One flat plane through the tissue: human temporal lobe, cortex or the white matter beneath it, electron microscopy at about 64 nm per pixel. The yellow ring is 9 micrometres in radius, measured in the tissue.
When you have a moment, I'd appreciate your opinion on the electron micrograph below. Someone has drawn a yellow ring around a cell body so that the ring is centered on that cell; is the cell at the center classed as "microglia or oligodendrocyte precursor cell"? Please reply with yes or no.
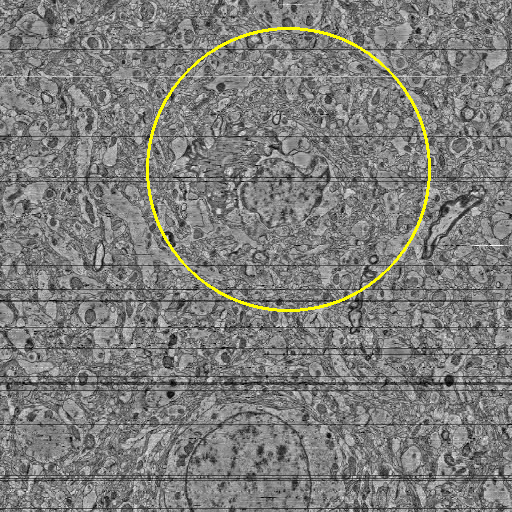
Yes, that cell is of the named kind.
